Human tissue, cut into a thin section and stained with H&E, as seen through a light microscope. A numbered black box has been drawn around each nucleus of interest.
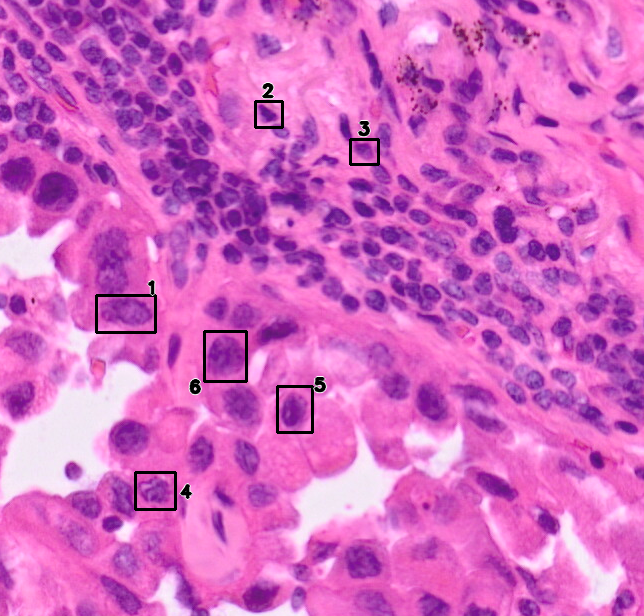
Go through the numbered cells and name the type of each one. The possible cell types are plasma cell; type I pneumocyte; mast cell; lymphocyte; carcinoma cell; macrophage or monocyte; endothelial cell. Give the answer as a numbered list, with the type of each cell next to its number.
1. carcinoma cell
2. lymphocyte
3. plasma cell
4. carcinoma cell
5. carcinoma cell
6. carcinoma cell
